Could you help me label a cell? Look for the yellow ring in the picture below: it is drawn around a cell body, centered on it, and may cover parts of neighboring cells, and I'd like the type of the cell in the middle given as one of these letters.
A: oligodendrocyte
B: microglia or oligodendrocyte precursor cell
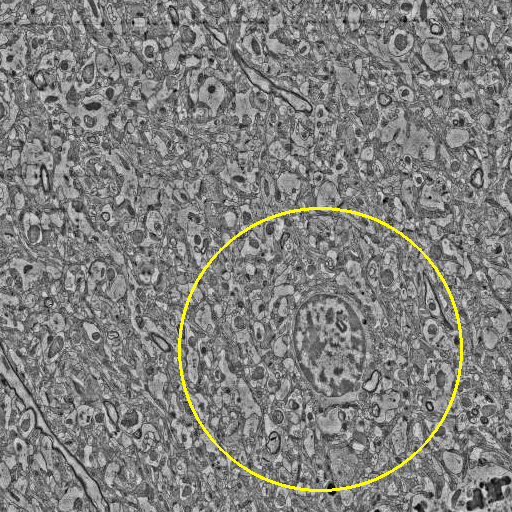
A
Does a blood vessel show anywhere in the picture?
No.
